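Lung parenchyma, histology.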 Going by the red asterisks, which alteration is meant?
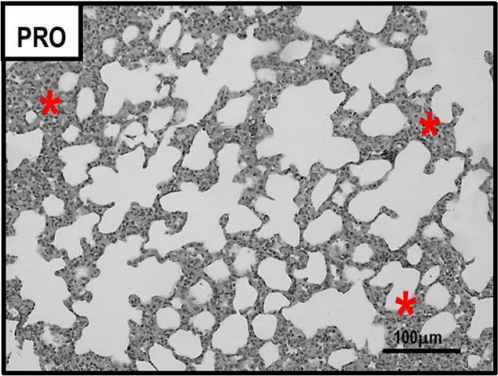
Atelectasis.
